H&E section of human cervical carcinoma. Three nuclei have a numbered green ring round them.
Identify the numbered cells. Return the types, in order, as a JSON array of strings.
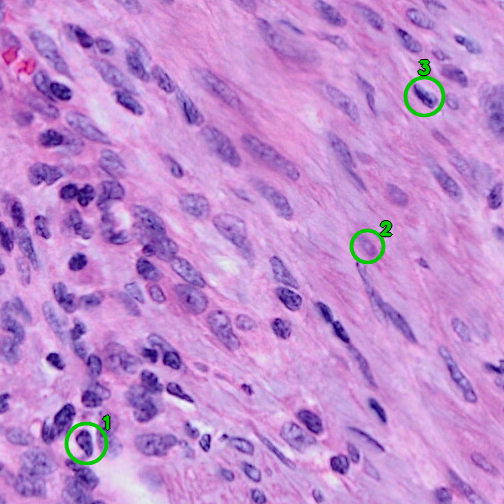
["lymphocyte", "smooth muscle cell", "lymphocyte"]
